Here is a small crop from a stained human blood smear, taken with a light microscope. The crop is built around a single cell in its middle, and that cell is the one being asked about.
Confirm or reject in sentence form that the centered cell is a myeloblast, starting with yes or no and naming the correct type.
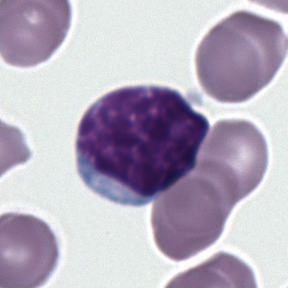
No, the central cell is not a myeloblast, being instead a typical lymphocyte.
